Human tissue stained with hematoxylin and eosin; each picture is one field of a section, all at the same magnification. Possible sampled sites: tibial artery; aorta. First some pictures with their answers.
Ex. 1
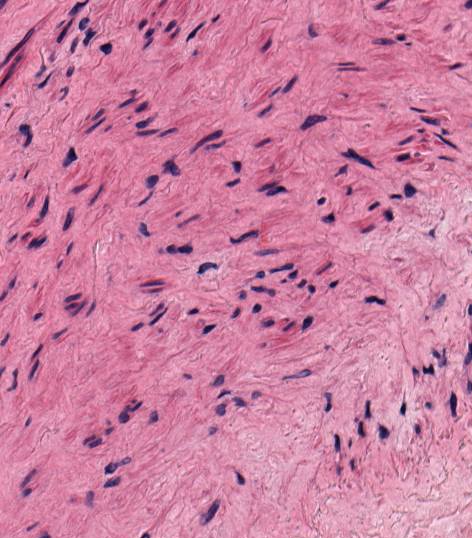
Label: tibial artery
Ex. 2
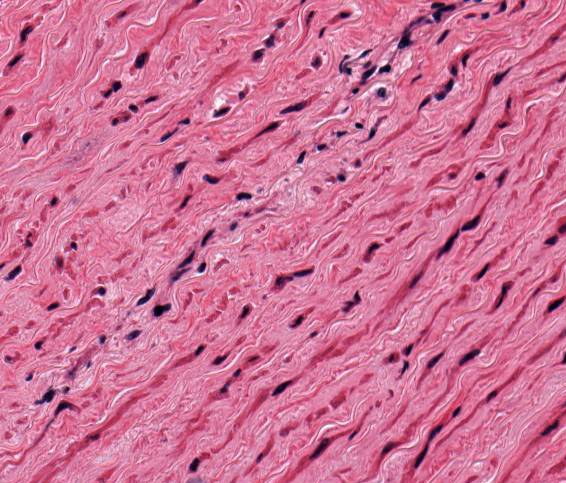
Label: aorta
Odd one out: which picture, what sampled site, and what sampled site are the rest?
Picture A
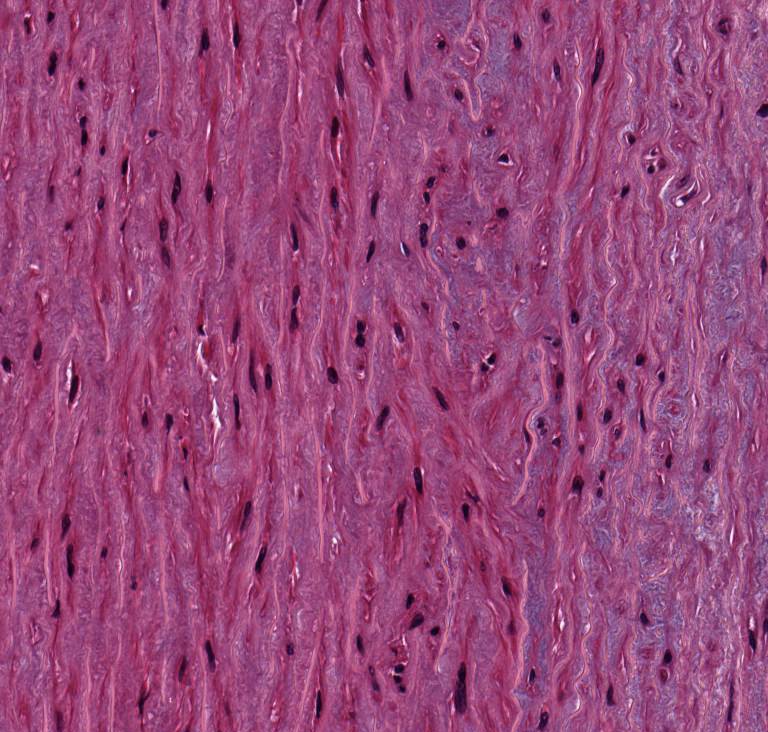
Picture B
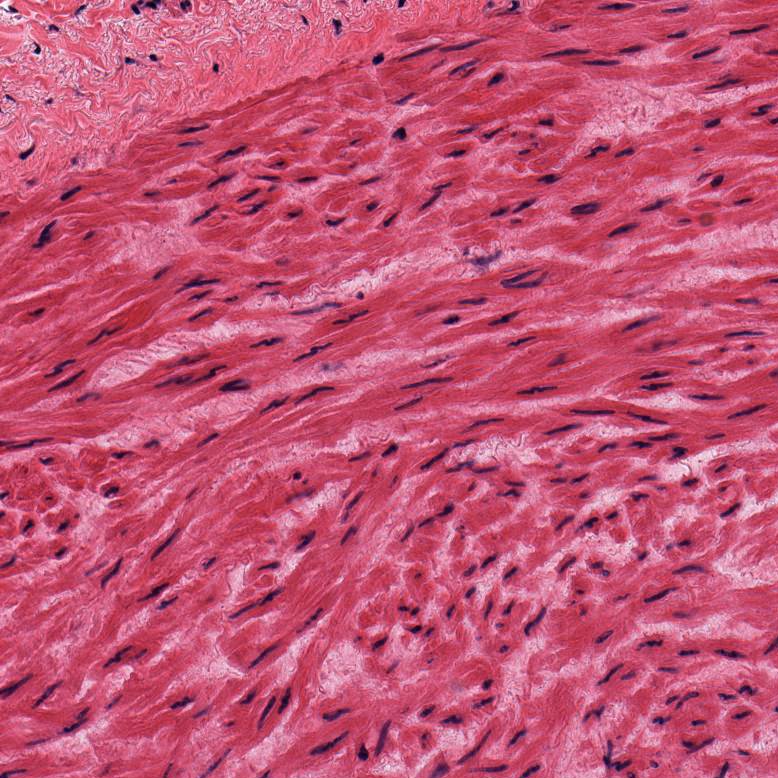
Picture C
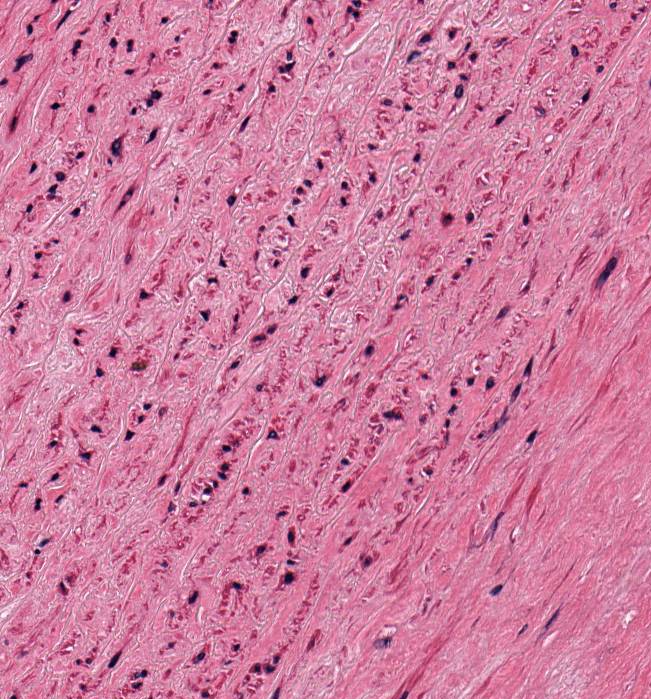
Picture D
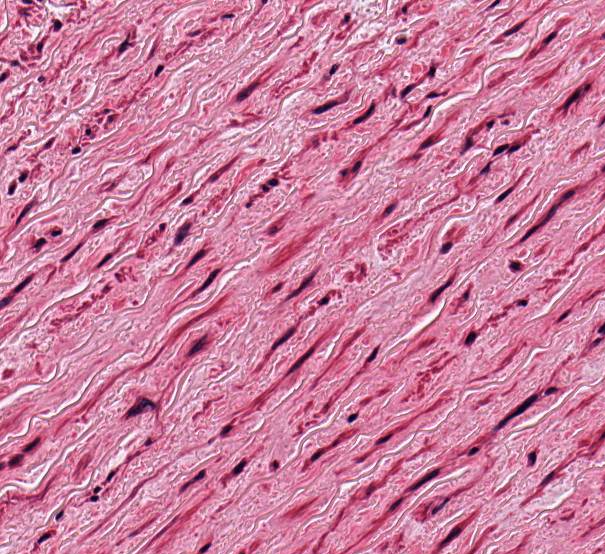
Odd one out: B (tibial artery). The rest: aorta.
